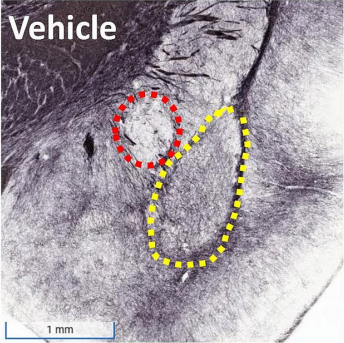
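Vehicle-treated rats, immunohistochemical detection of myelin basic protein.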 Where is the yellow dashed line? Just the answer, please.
Basolateral nucleus.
